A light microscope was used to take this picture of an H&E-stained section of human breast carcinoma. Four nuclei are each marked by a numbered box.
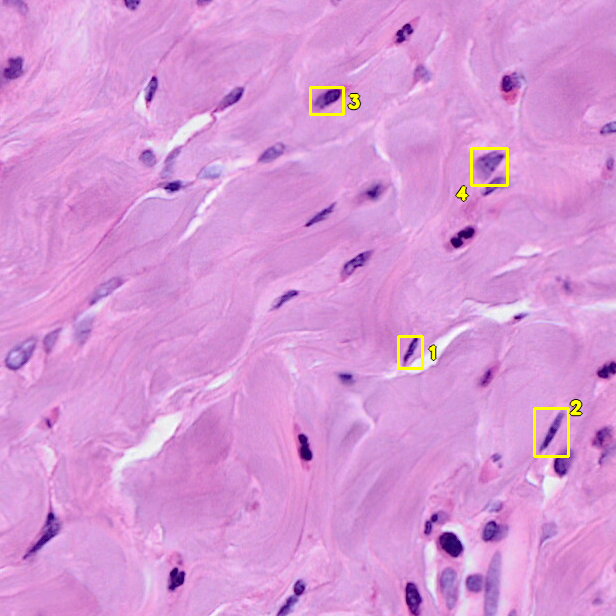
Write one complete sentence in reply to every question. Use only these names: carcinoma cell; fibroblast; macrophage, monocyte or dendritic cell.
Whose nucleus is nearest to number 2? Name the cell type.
The nucleus nearest to number 2 is that of a macrophage, monocyte or dendritic cell.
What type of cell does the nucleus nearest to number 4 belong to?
It is a fibroblast whose nucleus is nearest to number 4.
